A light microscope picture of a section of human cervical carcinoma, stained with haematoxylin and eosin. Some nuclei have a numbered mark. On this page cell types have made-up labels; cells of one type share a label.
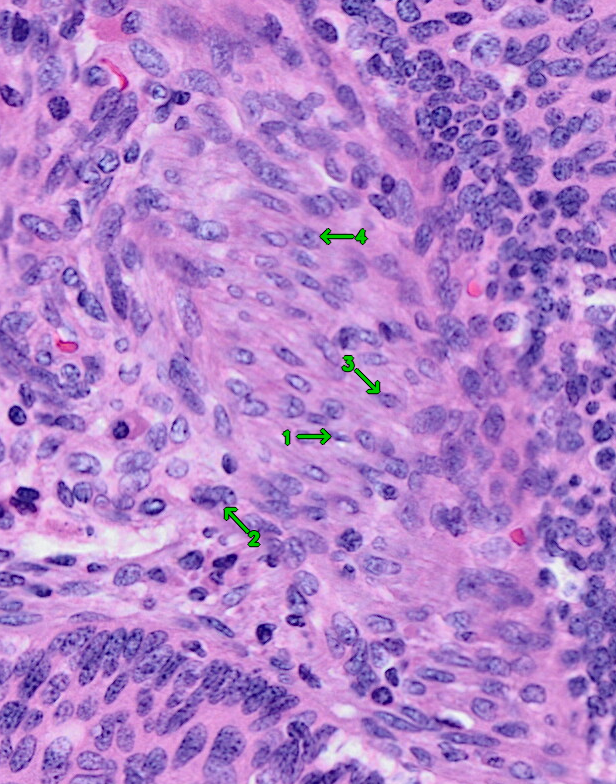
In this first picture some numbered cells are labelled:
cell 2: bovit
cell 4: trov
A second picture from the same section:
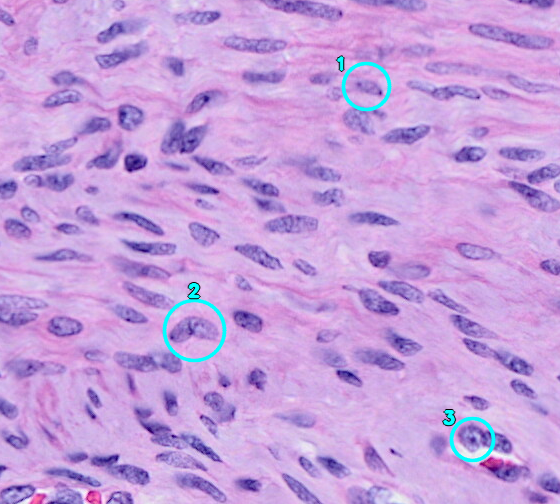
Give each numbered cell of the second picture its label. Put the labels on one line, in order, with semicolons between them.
trov; trov; bovit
